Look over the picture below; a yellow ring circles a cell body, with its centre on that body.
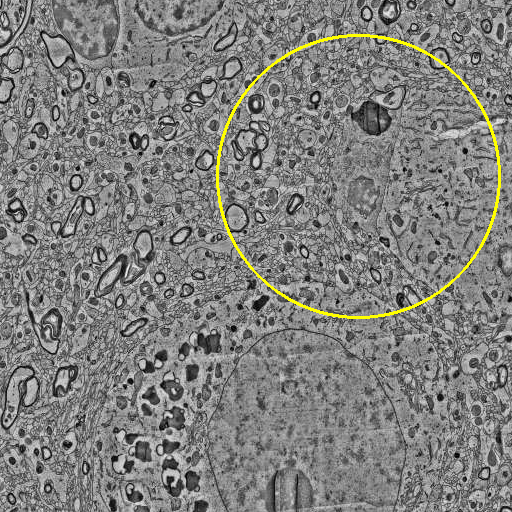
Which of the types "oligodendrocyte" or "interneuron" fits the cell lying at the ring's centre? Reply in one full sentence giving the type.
The picture shows an oligodendrocyte at the centre of the yellow ring.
